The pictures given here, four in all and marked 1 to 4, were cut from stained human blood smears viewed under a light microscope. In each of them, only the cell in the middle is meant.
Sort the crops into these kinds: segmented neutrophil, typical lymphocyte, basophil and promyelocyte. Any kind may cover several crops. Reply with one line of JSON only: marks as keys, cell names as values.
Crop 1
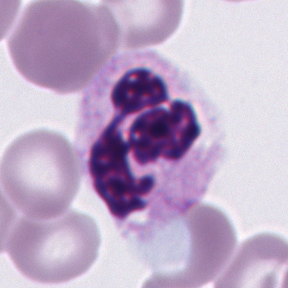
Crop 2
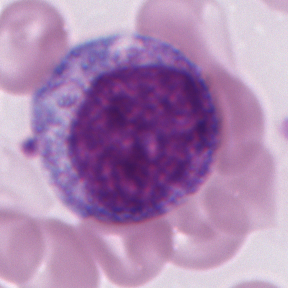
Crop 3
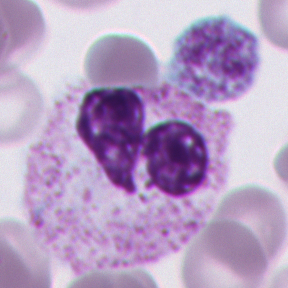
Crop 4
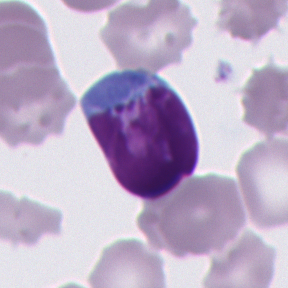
{"1": "segmented neutrophil", "2": "promyelocyte", "3": "segmented neutrophil", "4": "typical lymphocyte"}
